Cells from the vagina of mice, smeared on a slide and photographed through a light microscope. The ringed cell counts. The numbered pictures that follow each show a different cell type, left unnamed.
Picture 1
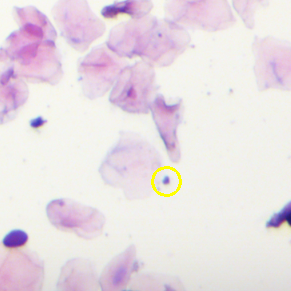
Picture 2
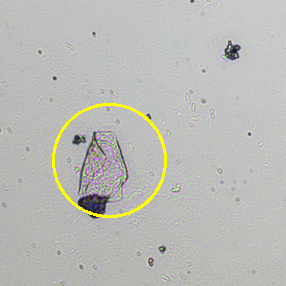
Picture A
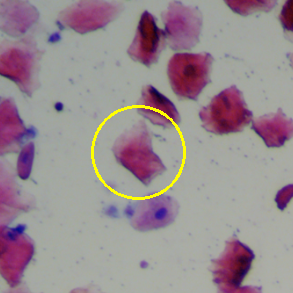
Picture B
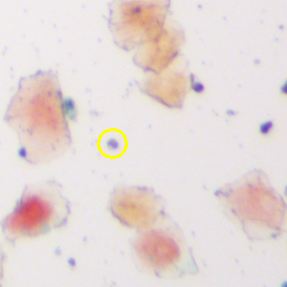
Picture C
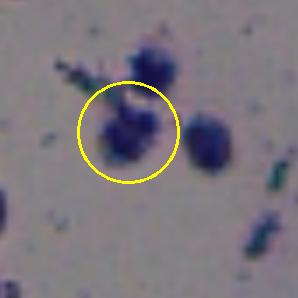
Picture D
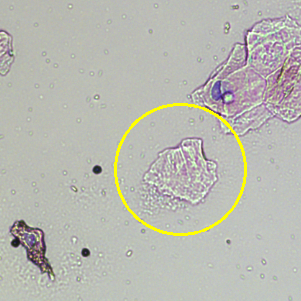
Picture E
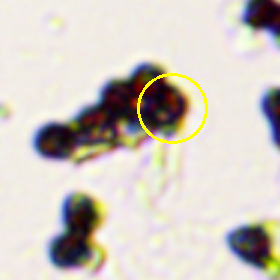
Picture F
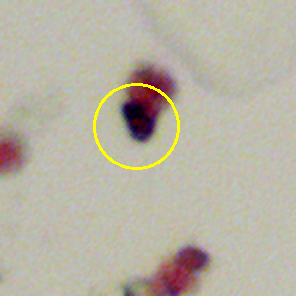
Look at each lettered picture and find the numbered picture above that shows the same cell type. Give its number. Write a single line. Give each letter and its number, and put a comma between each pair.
A 2, B 1, C 1, D 2, E 1, F 1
